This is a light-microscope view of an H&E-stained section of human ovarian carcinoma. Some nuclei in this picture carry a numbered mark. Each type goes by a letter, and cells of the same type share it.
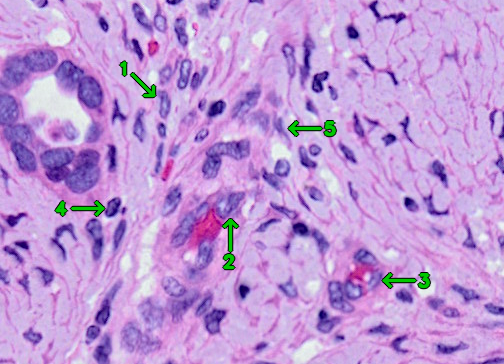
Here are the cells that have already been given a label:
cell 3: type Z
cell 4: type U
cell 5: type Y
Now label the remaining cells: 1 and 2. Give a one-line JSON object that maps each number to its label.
{"1": "type Y", "2": "type Z"}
